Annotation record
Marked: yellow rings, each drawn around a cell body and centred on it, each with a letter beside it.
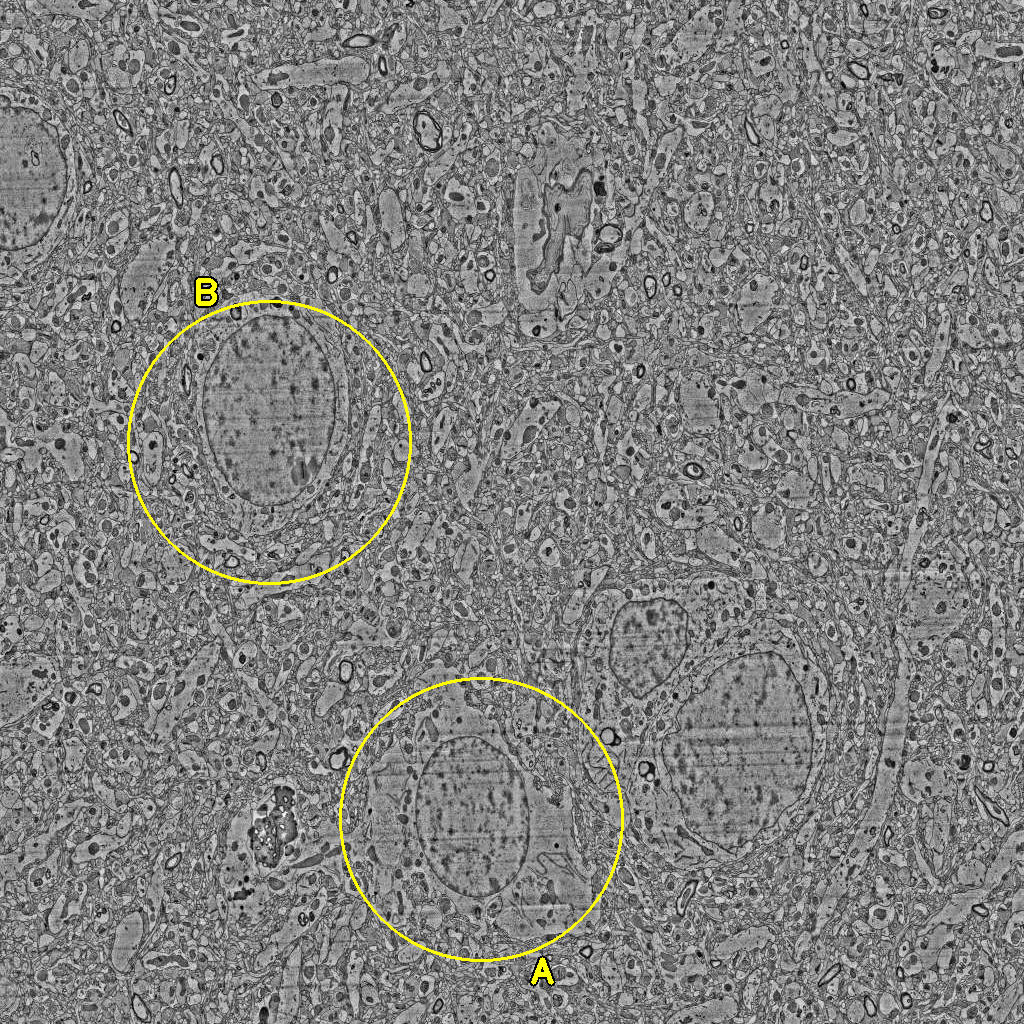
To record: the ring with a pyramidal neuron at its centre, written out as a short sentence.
The ring centred on it is ring B.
